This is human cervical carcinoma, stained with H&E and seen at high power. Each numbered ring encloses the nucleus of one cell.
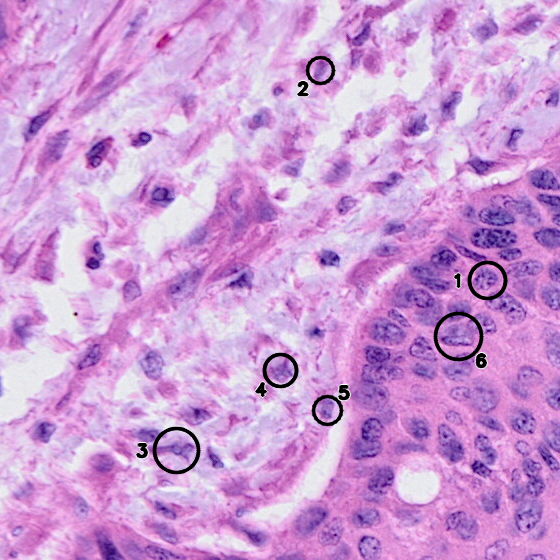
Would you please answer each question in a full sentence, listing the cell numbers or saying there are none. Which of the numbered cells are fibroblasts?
In this section, the cells numbered 2, 3, 4 and 5 are fibroblasts.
